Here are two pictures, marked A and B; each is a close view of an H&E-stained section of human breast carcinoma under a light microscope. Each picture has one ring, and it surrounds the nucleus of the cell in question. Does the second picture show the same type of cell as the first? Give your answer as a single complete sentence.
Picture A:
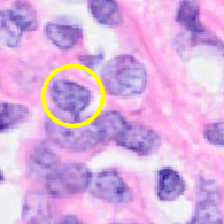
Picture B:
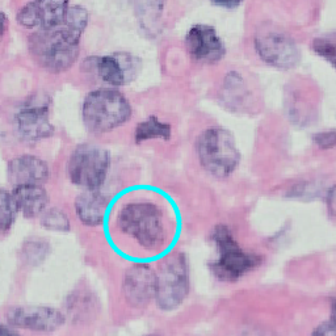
Yes, both are carcinoma cells.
